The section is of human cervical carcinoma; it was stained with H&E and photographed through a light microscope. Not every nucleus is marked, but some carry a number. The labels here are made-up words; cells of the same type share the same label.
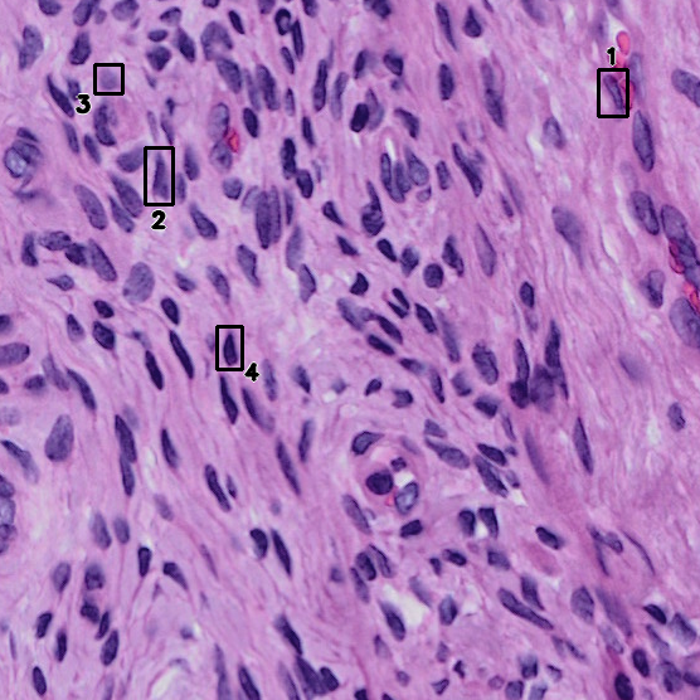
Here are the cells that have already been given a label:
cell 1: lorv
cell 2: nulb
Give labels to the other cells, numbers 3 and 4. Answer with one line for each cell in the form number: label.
3: nulb
4: nulb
